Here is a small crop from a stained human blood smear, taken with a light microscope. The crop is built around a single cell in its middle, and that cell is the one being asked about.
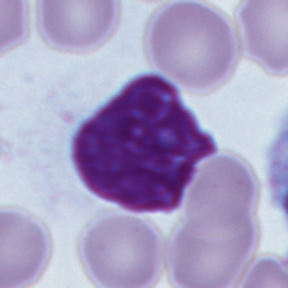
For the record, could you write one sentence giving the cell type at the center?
Answering briefly, the cell in the middle is a smudge cell.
